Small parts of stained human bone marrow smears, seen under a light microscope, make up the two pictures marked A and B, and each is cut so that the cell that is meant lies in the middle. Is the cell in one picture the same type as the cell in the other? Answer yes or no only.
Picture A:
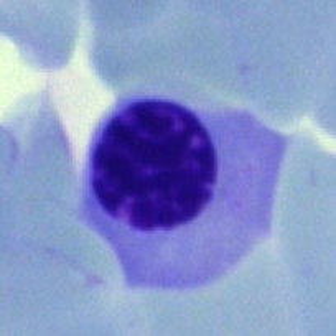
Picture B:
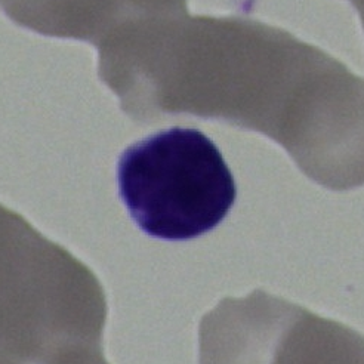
no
